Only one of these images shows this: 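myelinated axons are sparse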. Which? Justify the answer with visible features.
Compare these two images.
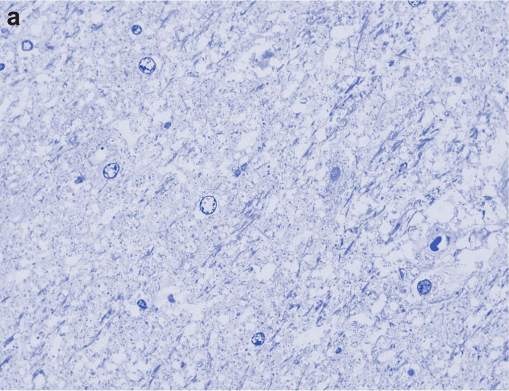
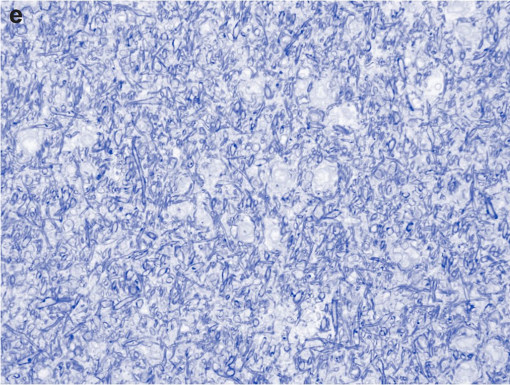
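The first image. Second image: dark blue myelin rings and profiles crowd the whole field. First image: the field is mostly pale, with only scattered thin dark blue profiles between scattered nuclei.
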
